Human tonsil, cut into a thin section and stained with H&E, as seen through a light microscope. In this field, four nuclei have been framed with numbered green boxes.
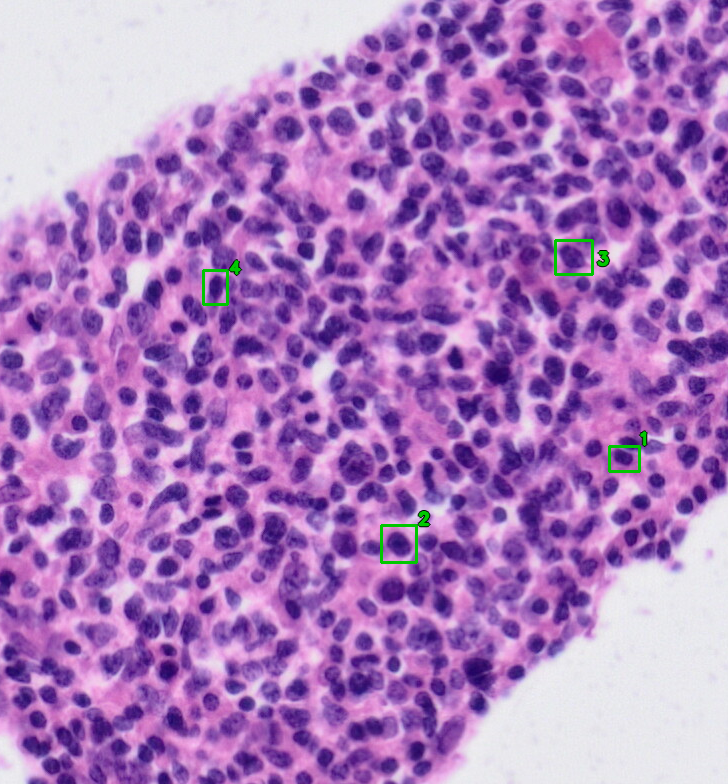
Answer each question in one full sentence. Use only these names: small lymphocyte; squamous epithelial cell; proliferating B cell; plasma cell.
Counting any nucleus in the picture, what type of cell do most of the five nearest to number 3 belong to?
Proliferating B cells account for more than half of the five nuclei nearest to number 3.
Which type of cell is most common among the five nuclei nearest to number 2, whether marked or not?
Around number 2, most of the five nearest nuclei are those of proliferating B cells.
